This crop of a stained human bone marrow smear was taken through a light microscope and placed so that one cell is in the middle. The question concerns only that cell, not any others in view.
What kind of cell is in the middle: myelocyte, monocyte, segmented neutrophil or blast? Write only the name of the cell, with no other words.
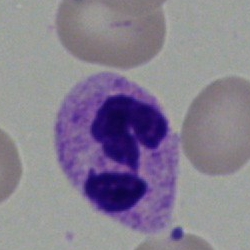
segmented neutrophil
